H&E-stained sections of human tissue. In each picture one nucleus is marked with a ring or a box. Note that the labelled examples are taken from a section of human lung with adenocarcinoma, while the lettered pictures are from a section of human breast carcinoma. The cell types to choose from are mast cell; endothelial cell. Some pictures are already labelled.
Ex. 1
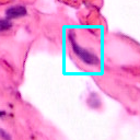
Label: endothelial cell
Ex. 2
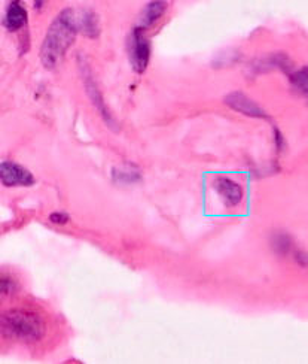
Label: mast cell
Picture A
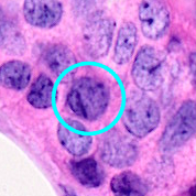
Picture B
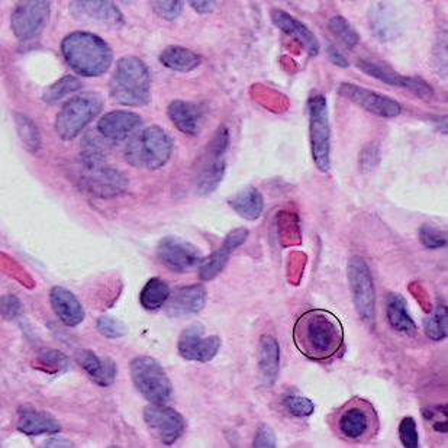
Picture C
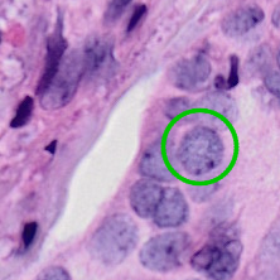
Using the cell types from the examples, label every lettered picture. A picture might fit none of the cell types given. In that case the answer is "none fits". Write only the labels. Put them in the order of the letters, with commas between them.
none fits, mast cell, none fits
